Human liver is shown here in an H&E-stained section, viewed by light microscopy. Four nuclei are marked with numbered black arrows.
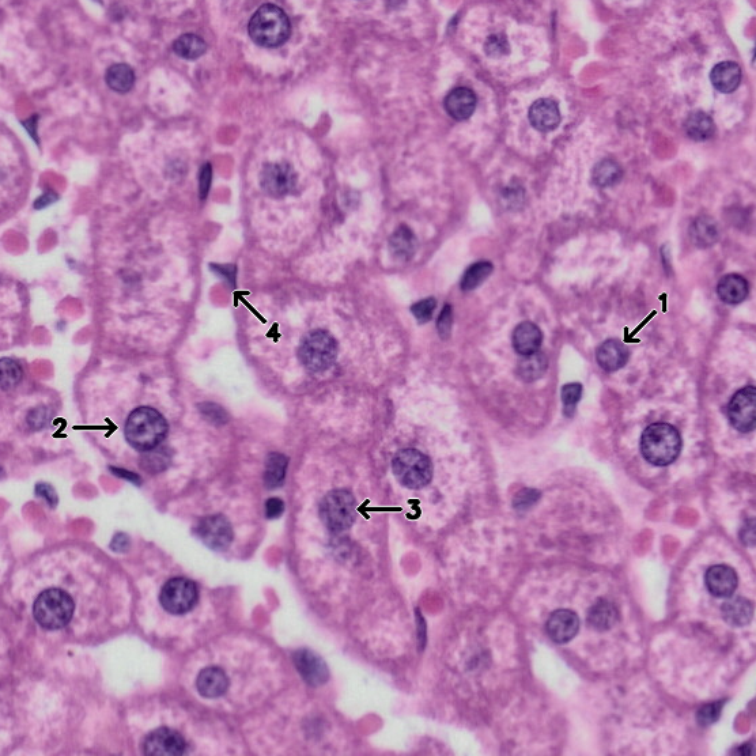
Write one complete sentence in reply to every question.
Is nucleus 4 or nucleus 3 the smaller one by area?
Nucleus 4 covers less area, with nucleus 3 about 2 times as large.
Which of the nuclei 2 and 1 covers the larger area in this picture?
Nucleus 2 is the larger one, covering about 2 times the area of nucleus 1.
